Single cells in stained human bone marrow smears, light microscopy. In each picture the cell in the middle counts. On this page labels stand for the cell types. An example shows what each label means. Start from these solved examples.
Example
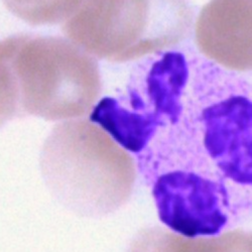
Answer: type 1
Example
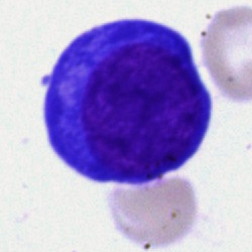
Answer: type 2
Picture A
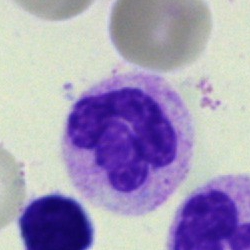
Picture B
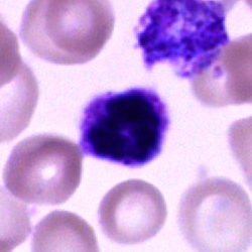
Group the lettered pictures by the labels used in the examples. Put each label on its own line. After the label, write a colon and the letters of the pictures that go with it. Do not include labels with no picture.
type 1: A, B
